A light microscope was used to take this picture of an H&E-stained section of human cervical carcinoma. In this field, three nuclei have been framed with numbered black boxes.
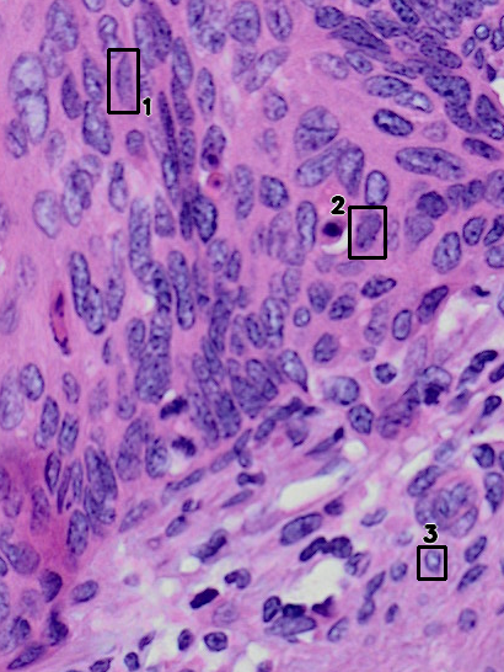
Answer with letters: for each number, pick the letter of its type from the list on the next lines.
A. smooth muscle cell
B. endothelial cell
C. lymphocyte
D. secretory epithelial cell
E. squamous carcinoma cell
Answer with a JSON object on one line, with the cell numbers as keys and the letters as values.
{"1": "E", "2": "E", "3": "A"}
